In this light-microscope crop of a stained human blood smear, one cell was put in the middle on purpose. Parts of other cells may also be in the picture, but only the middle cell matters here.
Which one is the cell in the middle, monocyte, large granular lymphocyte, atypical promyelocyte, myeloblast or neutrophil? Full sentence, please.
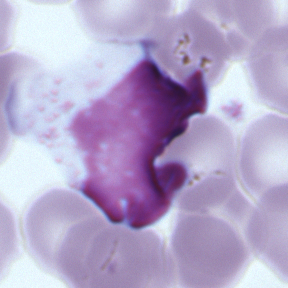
The cell at the centre of the field is a large granular lymphocyte.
